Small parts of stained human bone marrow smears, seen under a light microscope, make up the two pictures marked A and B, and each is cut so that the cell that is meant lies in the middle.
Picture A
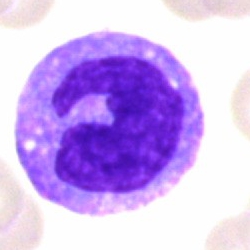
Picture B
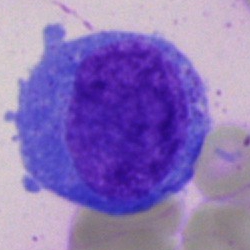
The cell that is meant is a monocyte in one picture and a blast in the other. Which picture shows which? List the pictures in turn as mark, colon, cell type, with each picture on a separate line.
A: monocyte
B: blast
